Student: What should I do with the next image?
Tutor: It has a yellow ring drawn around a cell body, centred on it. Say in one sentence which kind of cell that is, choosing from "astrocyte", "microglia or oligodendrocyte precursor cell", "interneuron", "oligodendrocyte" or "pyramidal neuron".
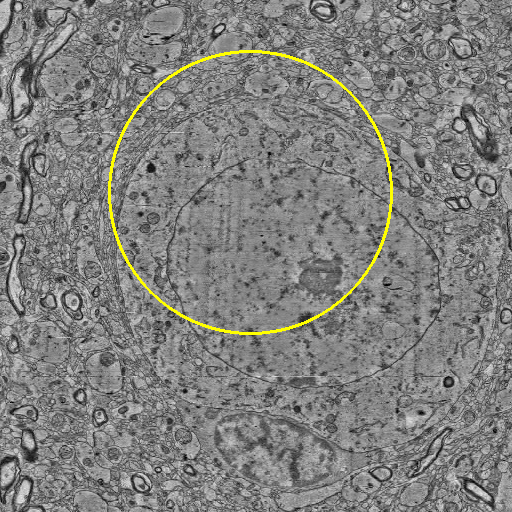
The ring's centre is occupied by a pyramidal neuron.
